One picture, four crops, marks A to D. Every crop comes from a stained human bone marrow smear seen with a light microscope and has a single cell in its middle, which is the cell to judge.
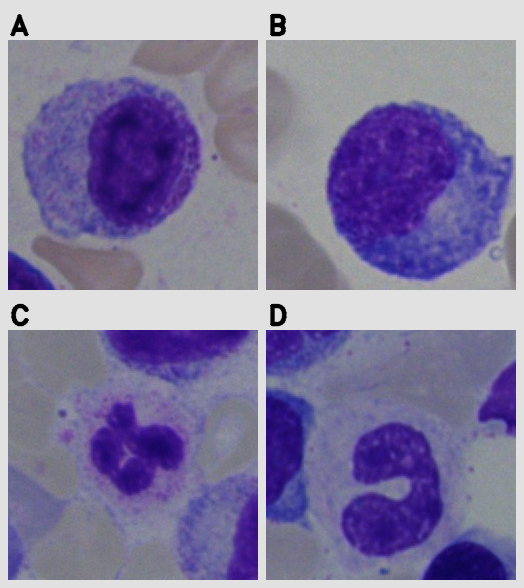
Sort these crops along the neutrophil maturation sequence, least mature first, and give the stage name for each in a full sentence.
The maturation order of the crops, earliest to latest, is crop B (a promyelocyte), crop A (a myelocyte), crop D (a band neutrophil) and crop C (a segmented neutrophil).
